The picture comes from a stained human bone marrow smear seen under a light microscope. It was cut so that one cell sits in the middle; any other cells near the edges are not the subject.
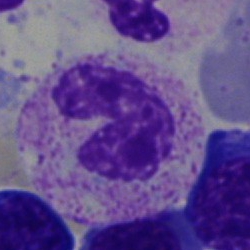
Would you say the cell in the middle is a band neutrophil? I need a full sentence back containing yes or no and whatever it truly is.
Yes, the cell occupying the center is a band neutrophil.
